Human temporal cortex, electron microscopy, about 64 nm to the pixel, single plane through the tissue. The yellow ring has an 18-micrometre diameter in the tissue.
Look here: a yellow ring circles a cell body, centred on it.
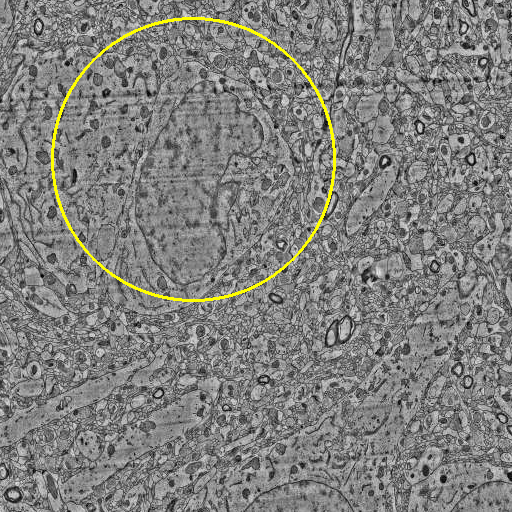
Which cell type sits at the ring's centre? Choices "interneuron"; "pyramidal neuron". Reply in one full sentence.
The cell at the centre of the yellow ring in the picture is an interneuron.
